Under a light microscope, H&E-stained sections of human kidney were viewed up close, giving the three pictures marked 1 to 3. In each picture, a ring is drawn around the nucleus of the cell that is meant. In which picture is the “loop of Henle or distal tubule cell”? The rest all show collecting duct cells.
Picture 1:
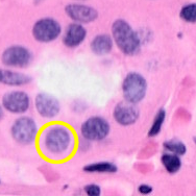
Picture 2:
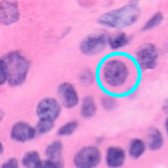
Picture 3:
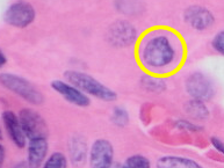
3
